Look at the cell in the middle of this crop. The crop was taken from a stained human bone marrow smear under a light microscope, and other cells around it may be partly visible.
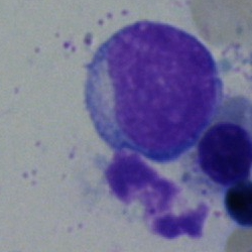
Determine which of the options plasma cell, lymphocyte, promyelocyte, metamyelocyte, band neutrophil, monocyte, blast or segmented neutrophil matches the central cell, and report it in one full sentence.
Whatever else lies nearby, the middle cell is a blast.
